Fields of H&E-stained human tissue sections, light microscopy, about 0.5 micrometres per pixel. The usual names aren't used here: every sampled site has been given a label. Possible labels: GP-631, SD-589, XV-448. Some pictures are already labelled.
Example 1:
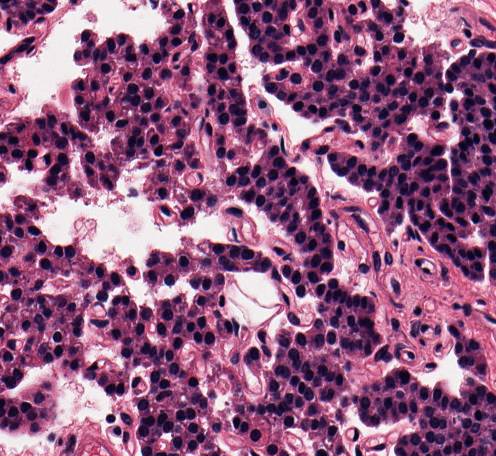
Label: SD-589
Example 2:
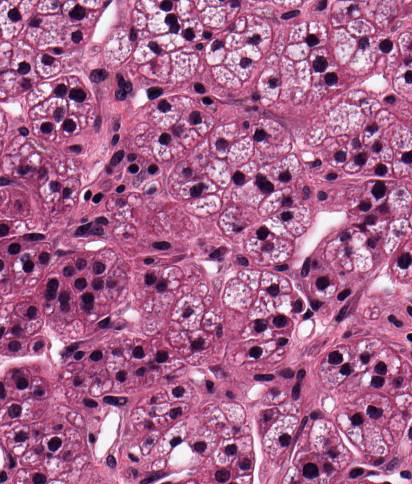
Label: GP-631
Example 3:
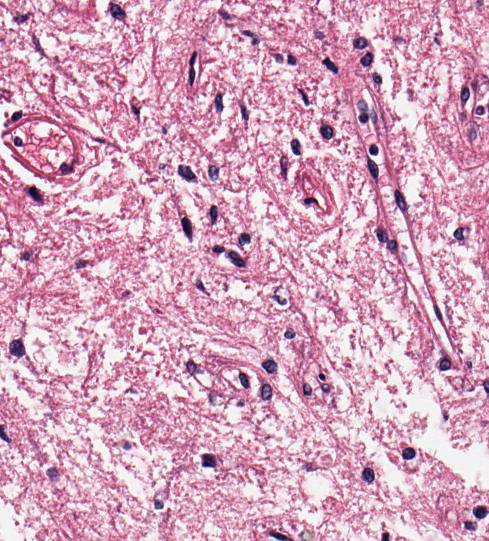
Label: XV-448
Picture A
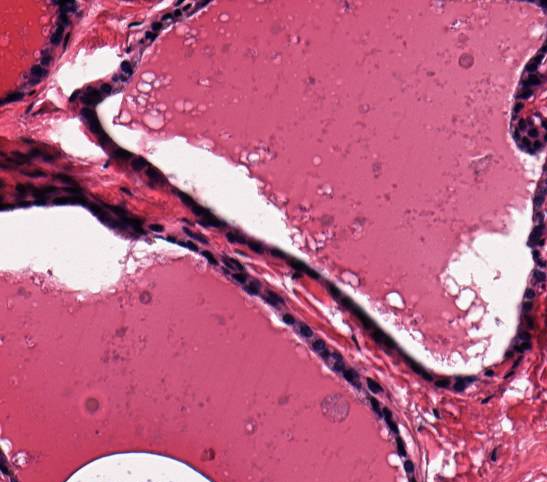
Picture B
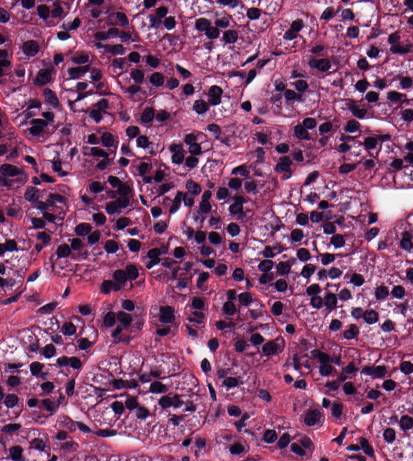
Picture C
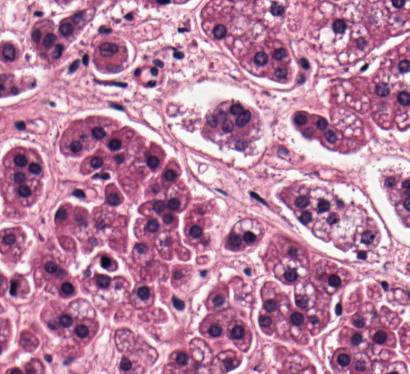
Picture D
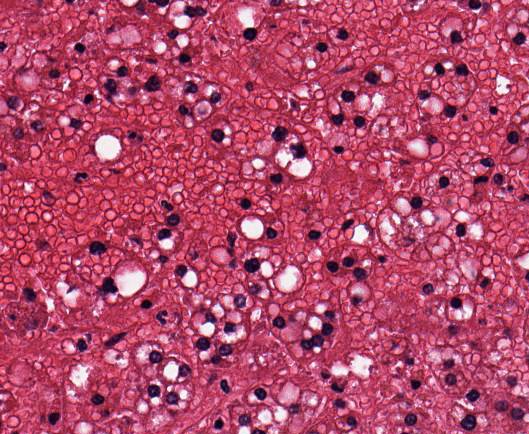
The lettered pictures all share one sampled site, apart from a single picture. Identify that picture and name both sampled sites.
A differs and shows SD-589; the others show GP-631.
